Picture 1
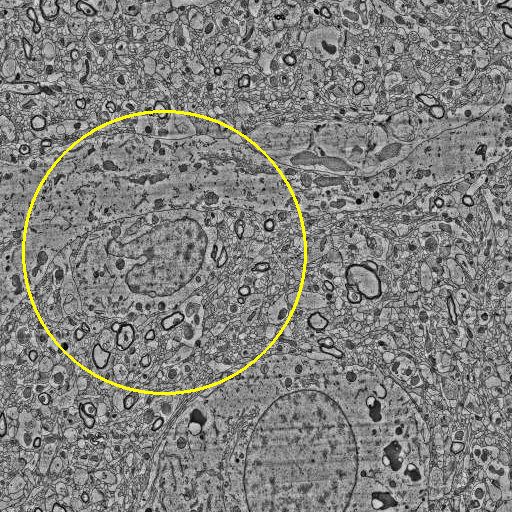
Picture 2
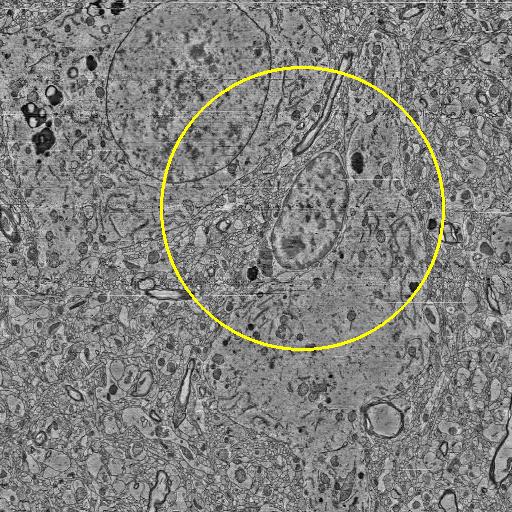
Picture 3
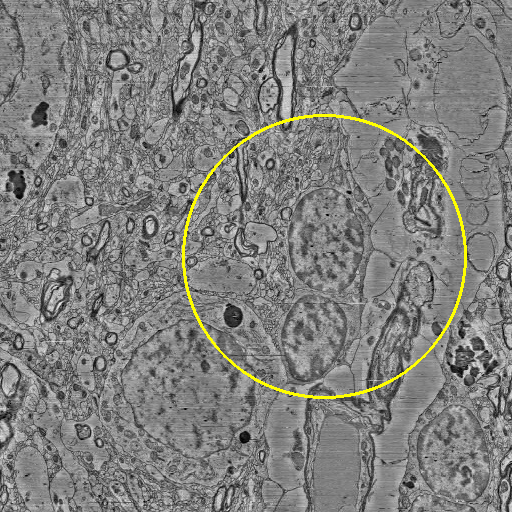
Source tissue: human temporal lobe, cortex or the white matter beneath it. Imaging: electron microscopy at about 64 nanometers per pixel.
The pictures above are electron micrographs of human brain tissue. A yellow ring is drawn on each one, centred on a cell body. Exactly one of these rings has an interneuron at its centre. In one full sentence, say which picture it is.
Picture 1 has it at the centre of its ring.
